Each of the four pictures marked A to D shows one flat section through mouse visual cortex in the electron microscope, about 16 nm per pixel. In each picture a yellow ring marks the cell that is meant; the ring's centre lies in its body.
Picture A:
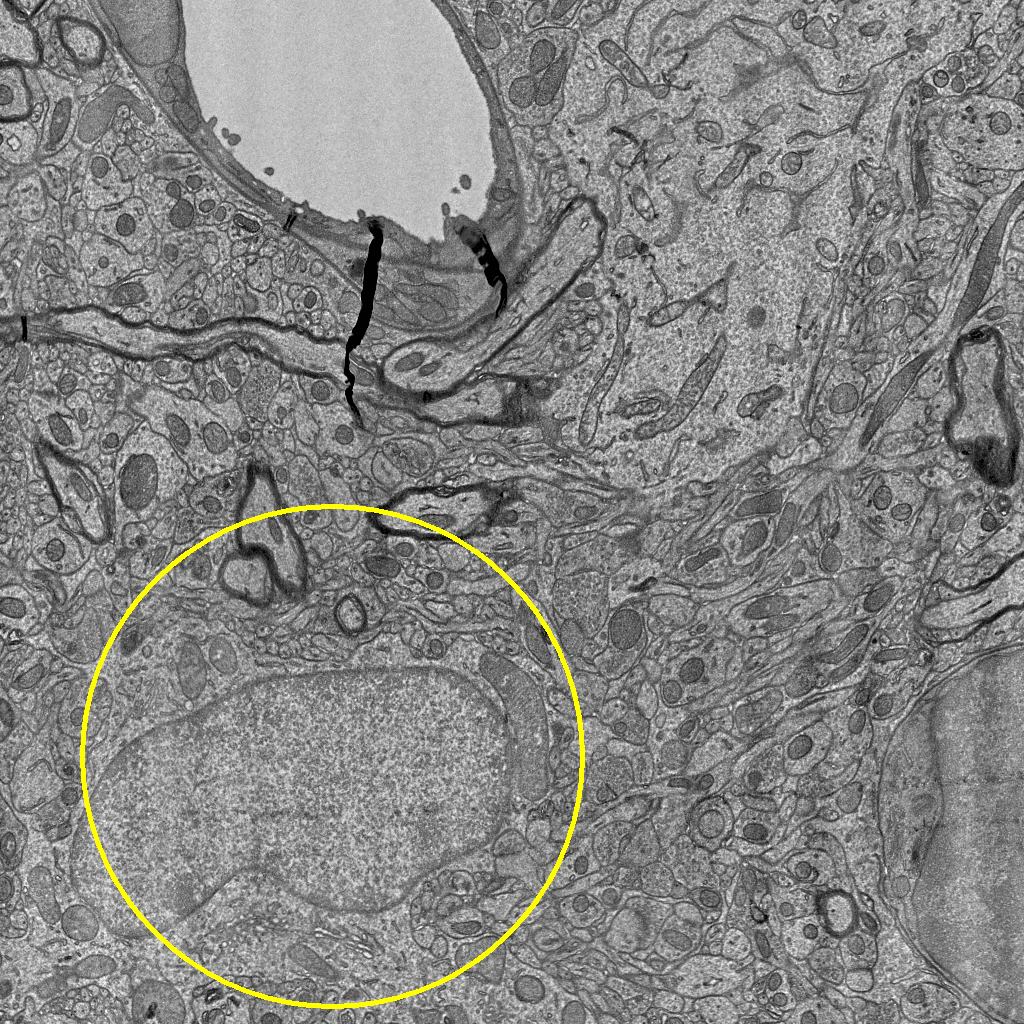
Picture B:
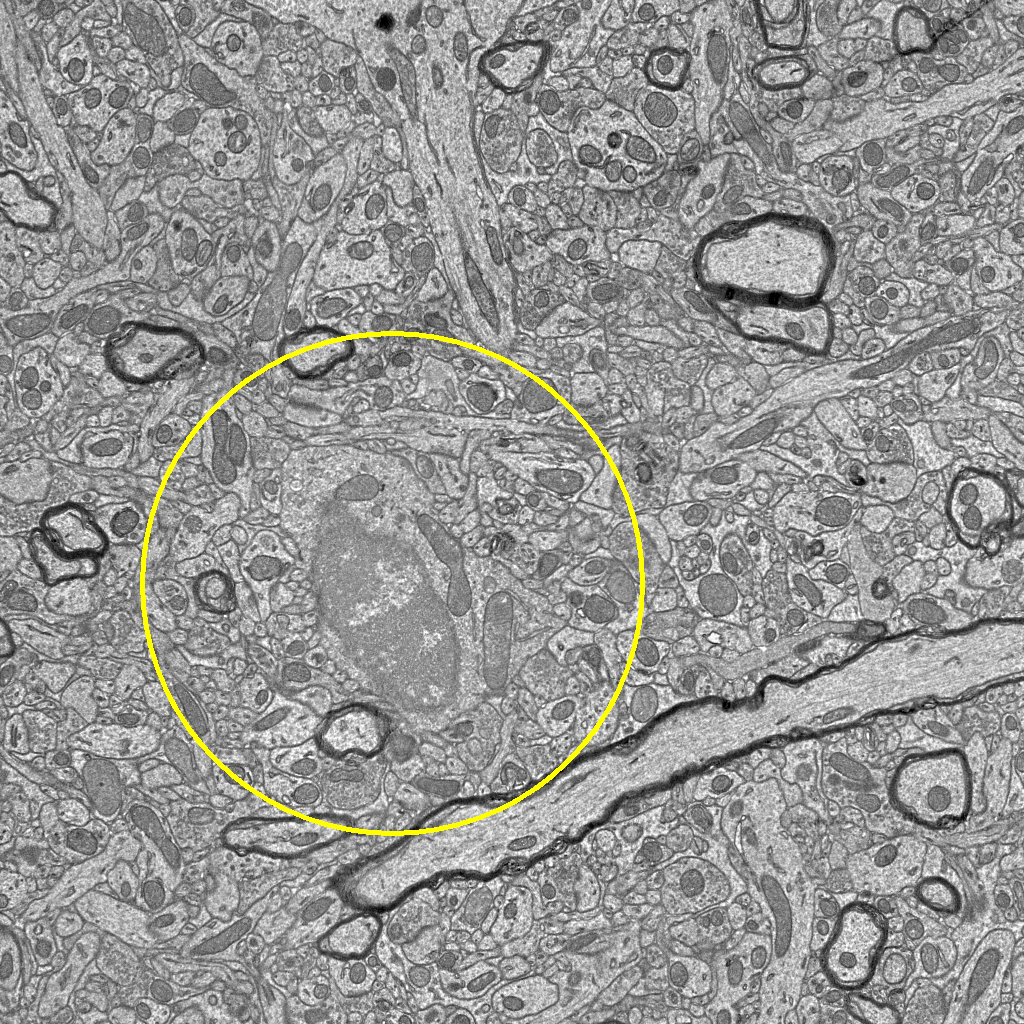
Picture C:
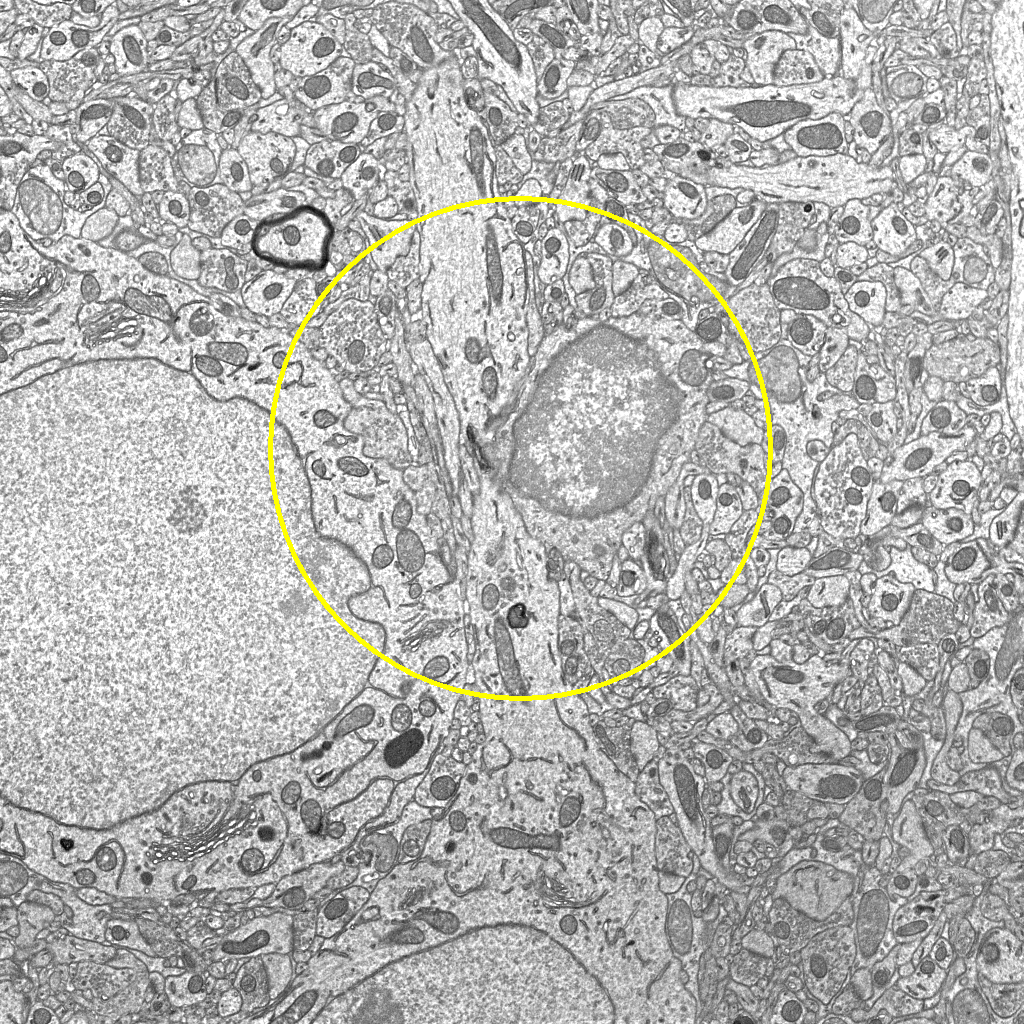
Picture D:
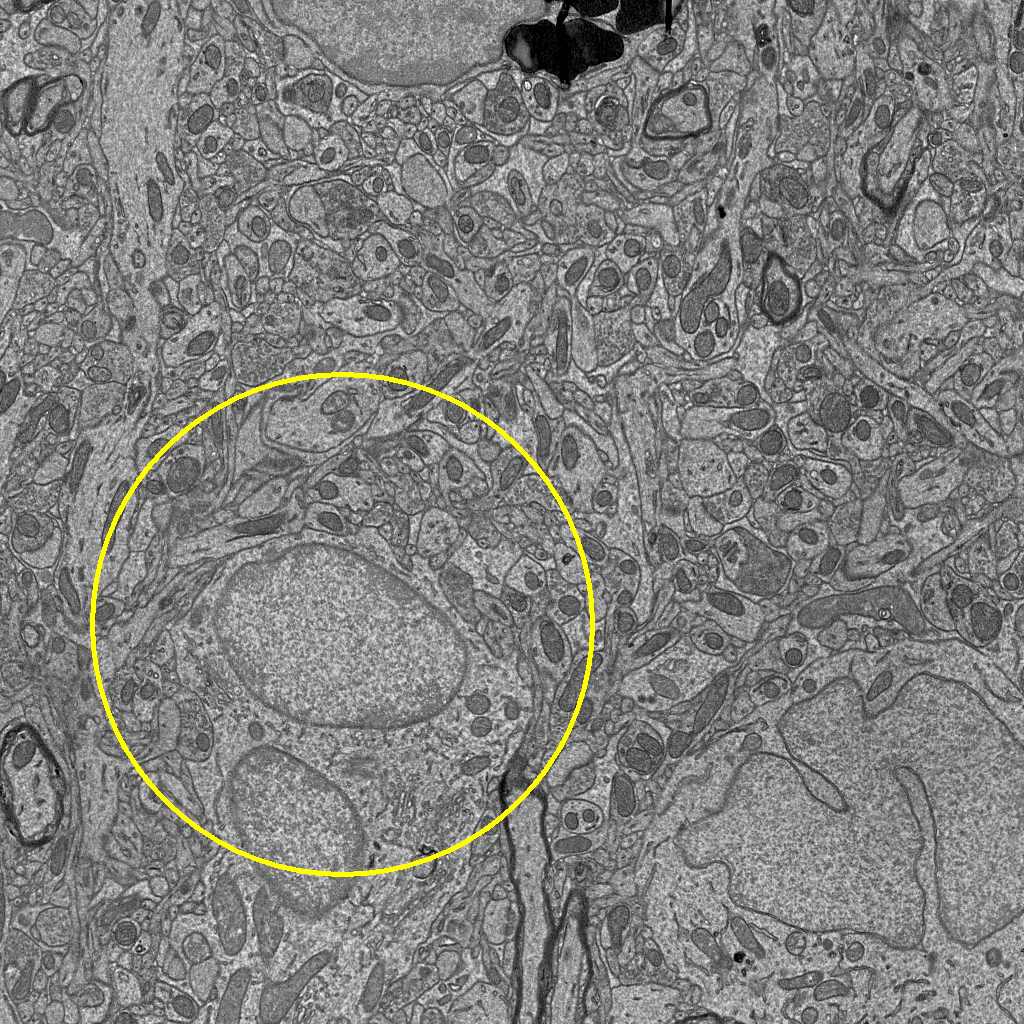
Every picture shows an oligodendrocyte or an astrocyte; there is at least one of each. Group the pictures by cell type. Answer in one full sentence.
Pictures B and C show oligodendrocytes, while pictures A and D show astrocytes.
